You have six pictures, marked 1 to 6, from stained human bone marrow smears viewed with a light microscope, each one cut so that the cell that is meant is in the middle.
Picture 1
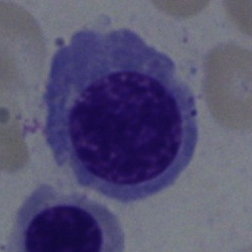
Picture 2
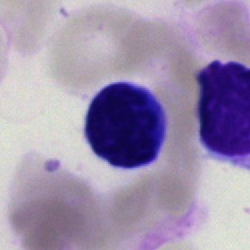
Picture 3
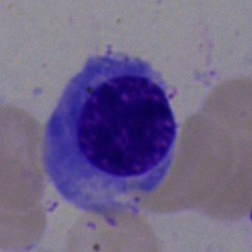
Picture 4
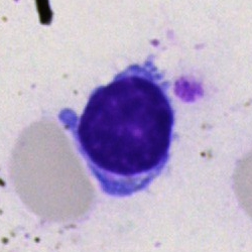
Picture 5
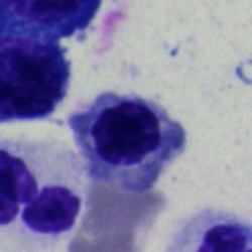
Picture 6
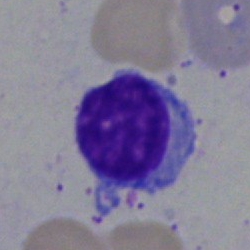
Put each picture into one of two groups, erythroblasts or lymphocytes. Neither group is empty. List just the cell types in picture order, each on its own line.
erythroblast
lymphocyte
erythroblast
lymphocyte
erythroblast
lymphocyte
